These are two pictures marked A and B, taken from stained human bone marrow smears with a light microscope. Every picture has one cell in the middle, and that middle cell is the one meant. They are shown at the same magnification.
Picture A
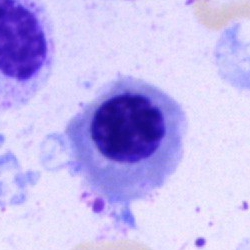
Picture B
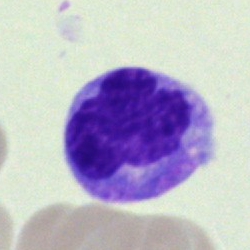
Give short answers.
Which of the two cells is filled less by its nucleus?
A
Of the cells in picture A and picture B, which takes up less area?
A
